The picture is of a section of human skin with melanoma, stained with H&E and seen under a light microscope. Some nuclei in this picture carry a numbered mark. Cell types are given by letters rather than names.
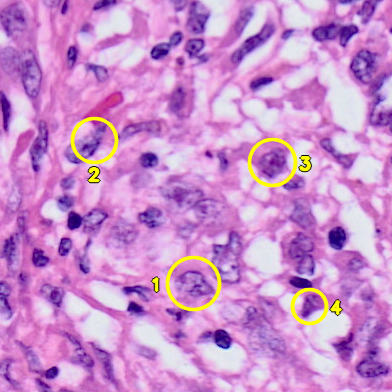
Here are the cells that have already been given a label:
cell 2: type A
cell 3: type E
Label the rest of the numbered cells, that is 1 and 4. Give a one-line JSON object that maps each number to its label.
{"1": "type E", "4": "type E"}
